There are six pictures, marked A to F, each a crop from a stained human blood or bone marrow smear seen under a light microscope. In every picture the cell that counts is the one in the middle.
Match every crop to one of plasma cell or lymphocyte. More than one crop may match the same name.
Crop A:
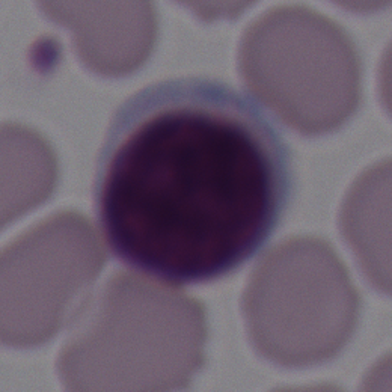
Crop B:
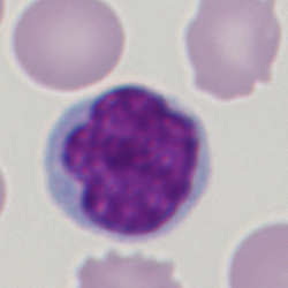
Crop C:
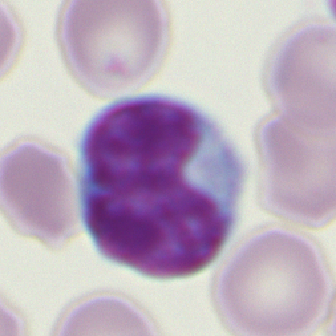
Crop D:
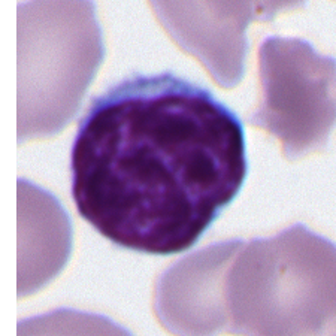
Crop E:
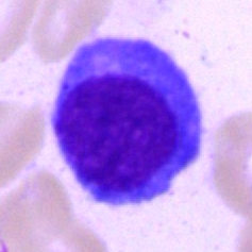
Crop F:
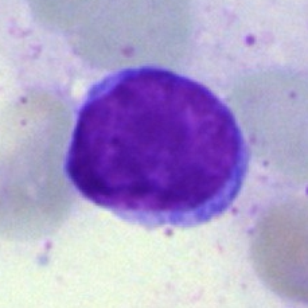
A: lymphocyte
B: lymphocyte
C: lymphocyte
D: lymphocyte
E: plasma cell
F: lymphocyte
